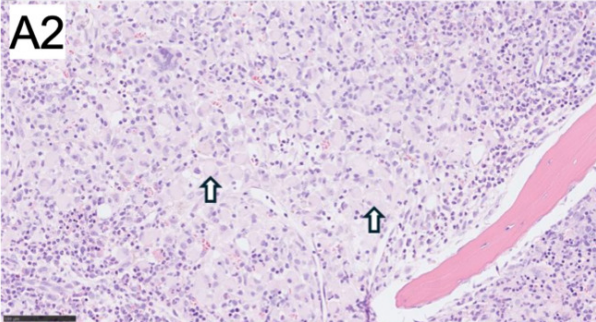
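This is bone marrow in which large histiocytes are arranged in sheets in the space beside a bony trabecula. The histiocytes are big cells with abundant pale pink to almost clear cytoplasm, some of it looking vacuolated and foamy. Between and around the sheets lie many small cells with dark round nuclei. The trabecula runs as a smooth, deep pink band along the lower right edge.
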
